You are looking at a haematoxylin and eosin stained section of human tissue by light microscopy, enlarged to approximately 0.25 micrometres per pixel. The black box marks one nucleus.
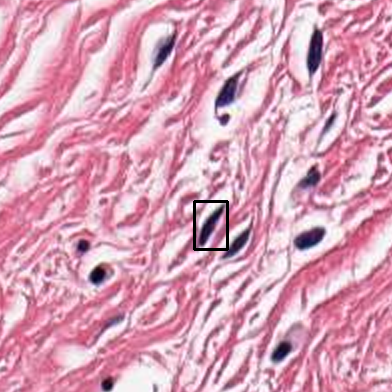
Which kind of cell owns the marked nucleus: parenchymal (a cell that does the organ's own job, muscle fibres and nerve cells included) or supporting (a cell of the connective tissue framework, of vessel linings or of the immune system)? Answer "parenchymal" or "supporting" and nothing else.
supporting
